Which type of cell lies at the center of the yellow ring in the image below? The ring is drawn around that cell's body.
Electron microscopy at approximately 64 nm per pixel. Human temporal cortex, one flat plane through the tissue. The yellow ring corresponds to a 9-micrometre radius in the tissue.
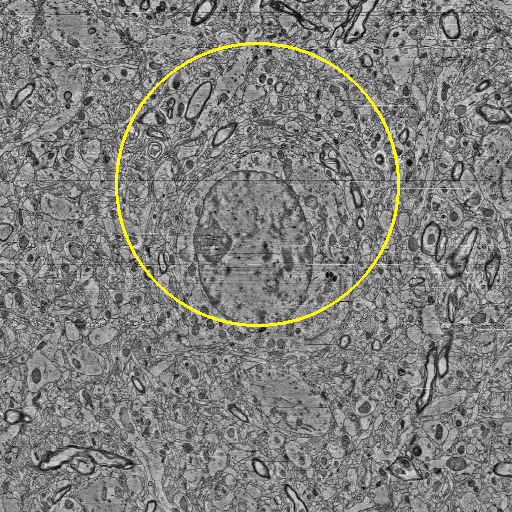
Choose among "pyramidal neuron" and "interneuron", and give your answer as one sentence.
The cell body at the center belongs to an interneuron.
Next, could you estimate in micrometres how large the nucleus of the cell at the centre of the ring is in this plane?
The nucleus comes to roughly 11 by 7 micrometres in this plane.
